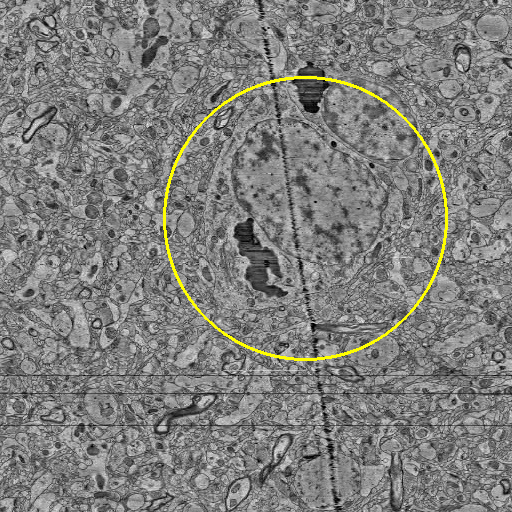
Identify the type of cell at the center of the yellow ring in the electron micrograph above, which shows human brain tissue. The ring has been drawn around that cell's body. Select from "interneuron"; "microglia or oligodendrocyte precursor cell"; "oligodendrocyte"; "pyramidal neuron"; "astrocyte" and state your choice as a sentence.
The yellow ring is centered on the body of an interneuron.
